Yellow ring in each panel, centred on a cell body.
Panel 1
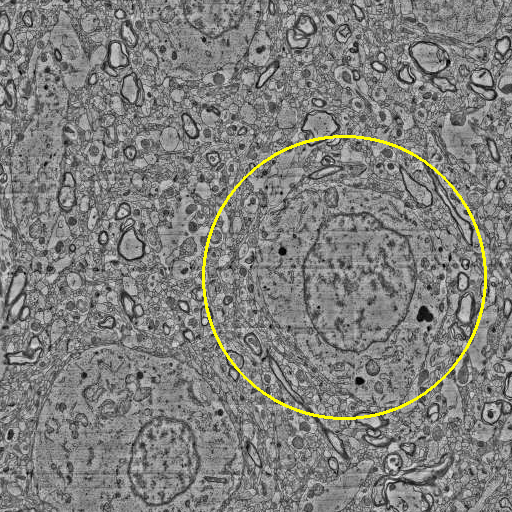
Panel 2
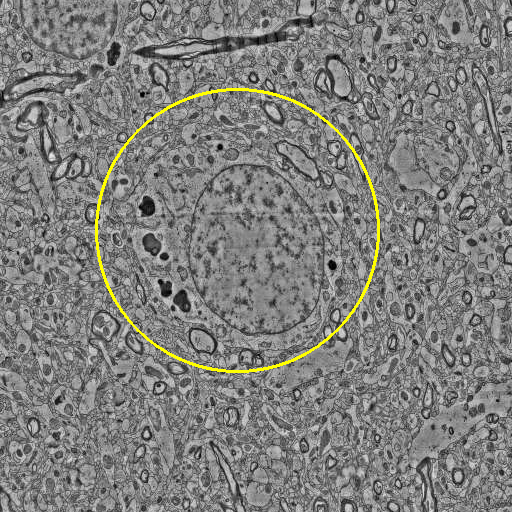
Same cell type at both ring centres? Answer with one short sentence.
Yes, both cells are of the same type.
